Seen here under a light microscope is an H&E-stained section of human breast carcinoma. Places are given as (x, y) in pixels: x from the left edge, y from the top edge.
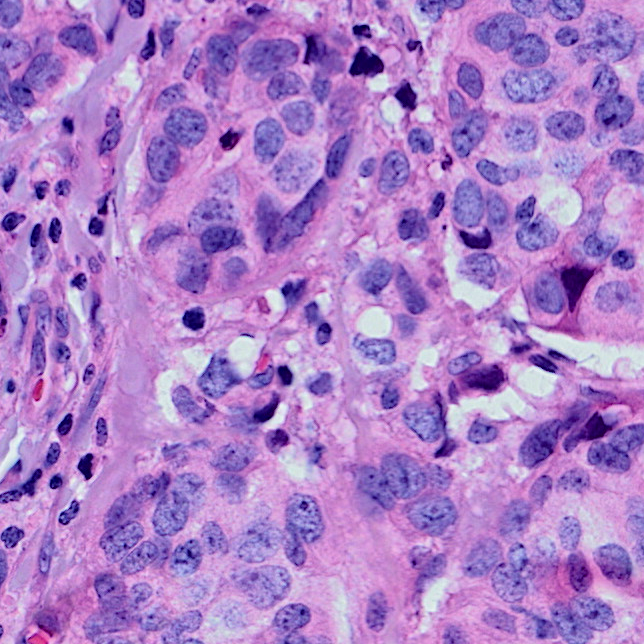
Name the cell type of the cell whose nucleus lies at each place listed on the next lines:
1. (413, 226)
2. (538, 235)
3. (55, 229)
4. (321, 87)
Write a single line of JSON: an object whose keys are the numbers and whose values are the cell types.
{"1": "carcinoma cell", "2": "carcinoma cell", "3": "lymphocyte", "4": "carcinoma cell"}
